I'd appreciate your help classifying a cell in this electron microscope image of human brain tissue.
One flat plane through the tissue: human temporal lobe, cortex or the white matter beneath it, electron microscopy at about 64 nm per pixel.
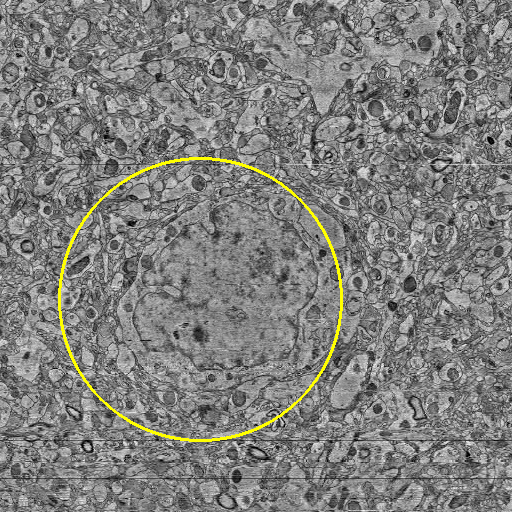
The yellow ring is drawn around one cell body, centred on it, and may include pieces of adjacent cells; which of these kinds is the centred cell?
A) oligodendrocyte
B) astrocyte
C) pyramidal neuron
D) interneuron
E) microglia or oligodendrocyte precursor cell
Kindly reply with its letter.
D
